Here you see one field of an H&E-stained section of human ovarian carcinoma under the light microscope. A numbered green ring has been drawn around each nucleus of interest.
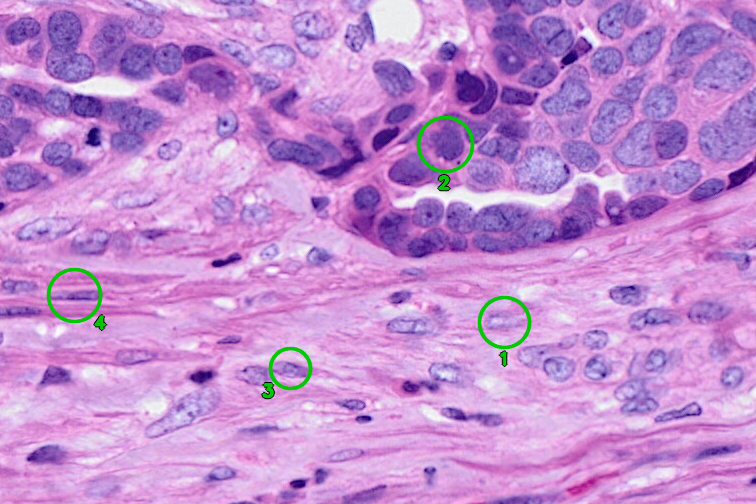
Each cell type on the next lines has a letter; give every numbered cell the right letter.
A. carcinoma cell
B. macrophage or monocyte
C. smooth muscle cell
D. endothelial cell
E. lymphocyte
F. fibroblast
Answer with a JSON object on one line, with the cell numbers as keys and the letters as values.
{"1": "F", "2": "A", "3": "F", "4": "F"}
